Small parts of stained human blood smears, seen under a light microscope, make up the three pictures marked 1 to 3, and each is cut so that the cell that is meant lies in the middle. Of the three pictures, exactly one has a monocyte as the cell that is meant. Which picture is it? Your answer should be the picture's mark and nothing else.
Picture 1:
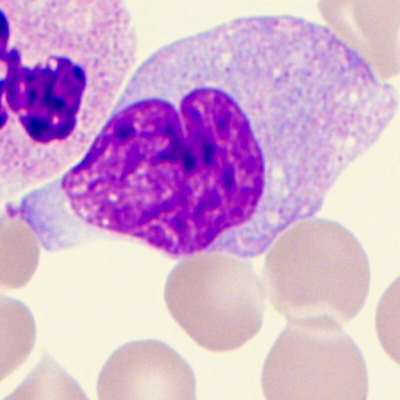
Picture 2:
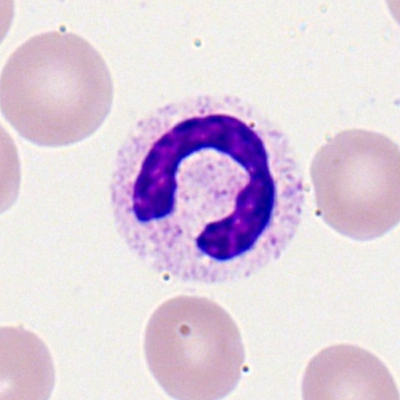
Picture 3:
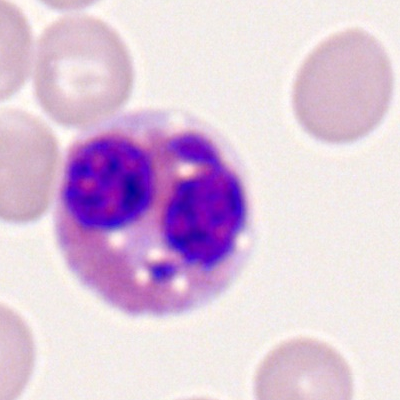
1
